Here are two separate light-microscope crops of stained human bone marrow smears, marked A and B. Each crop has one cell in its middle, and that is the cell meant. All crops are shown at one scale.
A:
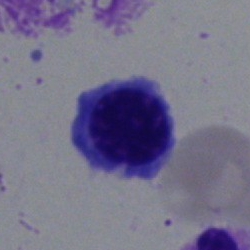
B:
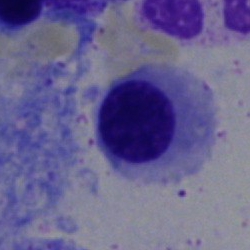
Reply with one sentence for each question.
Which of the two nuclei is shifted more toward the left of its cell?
The nucleus in picture B lies further toward the left of its cell.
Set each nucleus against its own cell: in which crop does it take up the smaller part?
The nucleus fills less of the cell in picture B than in picture A.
